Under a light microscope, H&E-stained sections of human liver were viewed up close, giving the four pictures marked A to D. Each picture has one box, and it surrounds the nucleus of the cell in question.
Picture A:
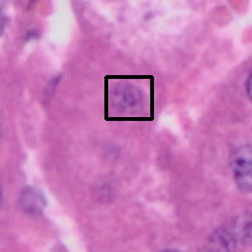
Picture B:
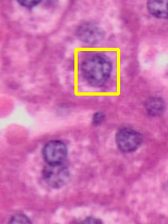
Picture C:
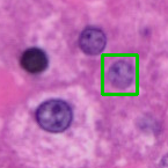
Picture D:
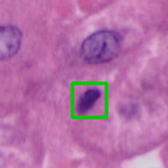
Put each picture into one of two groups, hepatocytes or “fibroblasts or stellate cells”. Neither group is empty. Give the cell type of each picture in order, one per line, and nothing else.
hepatocyte
hepatocyte
hepatocyte
fibroblast or stellate cell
